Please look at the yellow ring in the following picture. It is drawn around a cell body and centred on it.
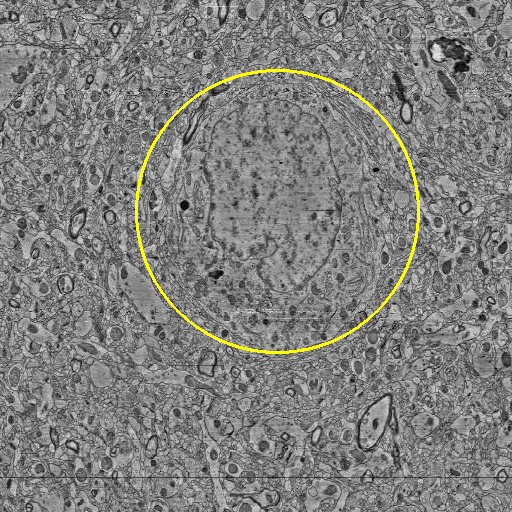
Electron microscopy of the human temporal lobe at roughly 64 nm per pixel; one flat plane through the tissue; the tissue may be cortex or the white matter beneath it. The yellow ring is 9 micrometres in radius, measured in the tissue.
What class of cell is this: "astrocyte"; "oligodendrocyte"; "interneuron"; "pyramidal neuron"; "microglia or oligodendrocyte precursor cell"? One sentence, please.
The ring surrounds the cell body of an interneuron.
